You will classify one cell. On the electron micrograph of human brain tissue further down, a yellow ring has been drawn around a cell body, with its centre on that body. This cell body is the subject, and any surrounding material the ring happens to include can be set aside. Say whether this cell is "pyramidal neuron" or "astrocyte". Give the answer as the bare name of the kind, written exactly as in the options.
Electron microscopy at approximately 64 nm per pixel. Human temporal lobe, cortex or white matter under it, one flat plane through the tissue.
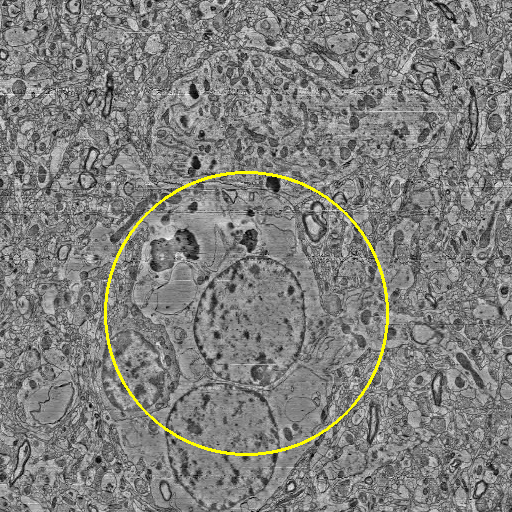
astrocyte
